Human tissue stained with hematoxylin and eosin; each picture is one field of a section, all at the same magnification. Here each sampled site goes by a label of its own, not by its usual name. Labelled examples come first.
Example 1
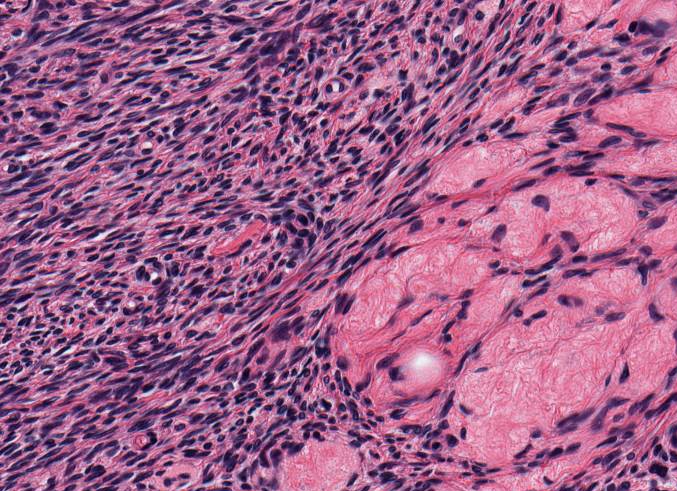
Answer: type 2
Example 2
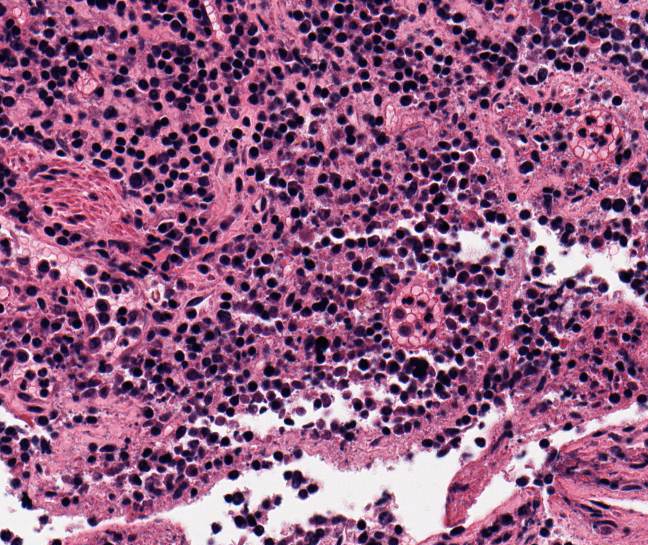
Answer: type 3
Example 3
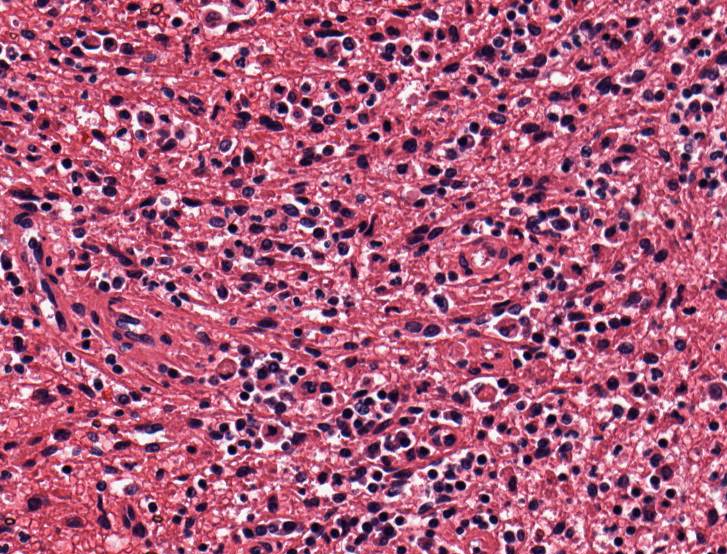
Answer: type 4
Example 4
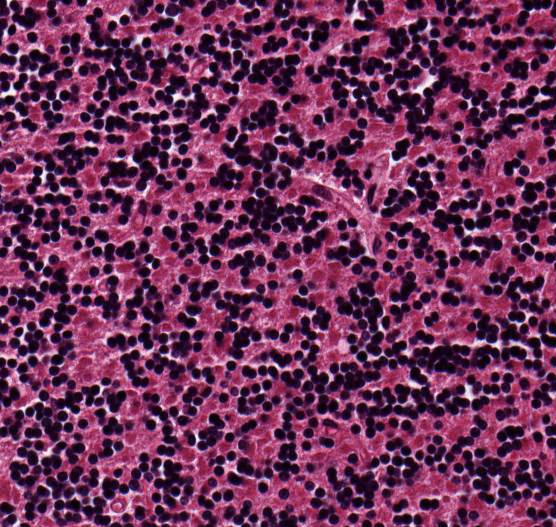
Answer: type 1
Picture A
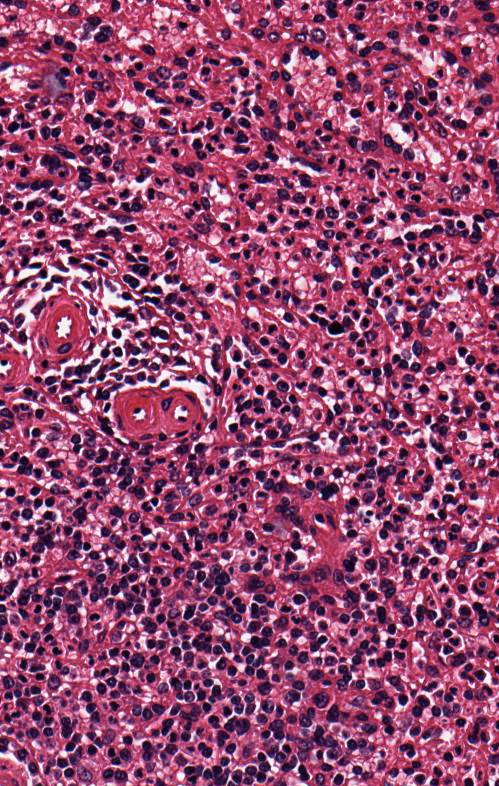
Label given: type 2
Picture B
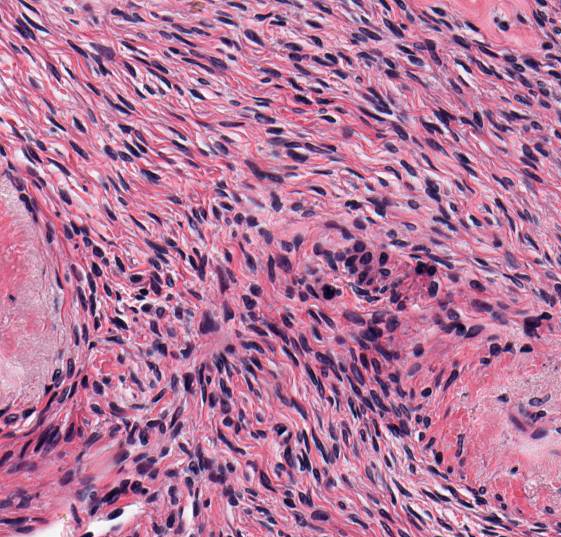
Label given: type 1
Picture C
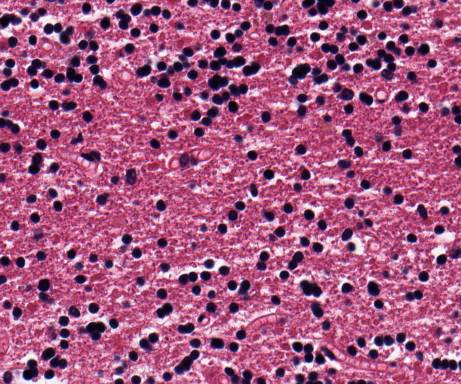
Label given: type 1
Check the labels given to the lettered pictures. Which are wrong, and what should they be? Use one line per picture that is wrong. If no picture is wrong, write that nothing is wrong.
A should be type 4, not type 2
B should be type 2, not type 1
